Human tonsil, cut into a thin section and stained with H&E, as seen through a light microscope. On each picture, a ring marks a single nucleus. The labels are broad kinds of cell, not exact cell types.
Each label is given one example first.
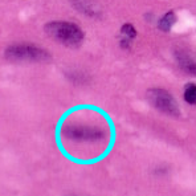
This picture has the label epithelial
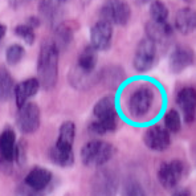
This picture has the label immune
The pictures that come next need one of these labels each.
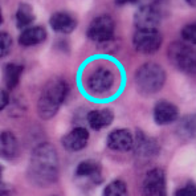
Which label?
immune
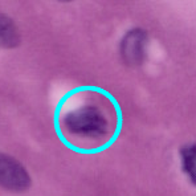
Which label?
epithelial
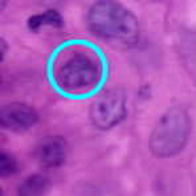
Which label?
epithelial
